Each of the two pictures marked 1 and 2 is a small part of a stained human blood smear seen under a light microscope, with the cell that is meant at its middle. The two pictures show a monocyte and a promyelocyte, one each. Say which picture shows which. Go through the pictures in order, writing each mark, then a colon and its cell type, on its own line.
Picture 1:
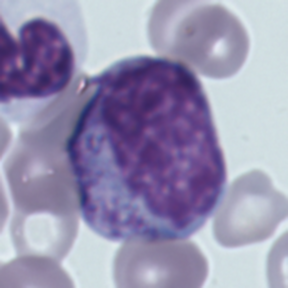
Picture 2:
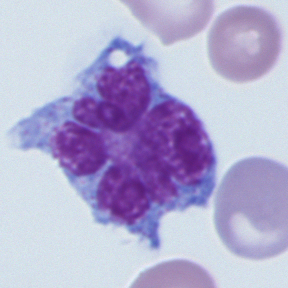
1: promyelocyte
2: monocyte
